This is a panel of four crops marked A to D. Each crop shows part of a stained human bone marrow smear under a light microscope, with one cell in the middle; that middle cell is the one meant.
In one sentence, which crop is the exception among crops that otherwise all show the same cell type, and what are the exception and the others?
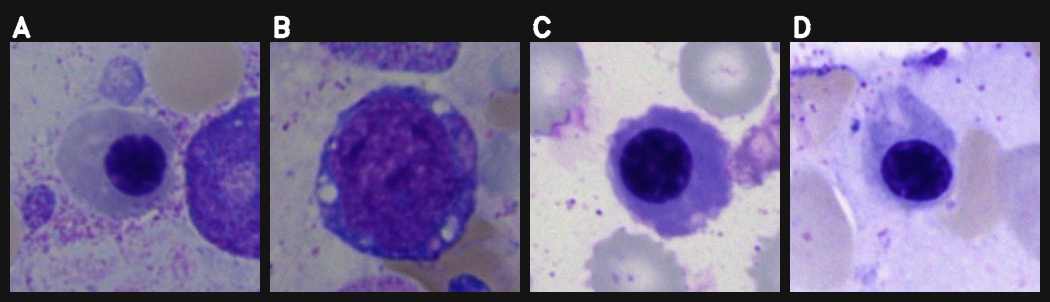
Whereas the other crops all show normoblasts, crop B shows a blast.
